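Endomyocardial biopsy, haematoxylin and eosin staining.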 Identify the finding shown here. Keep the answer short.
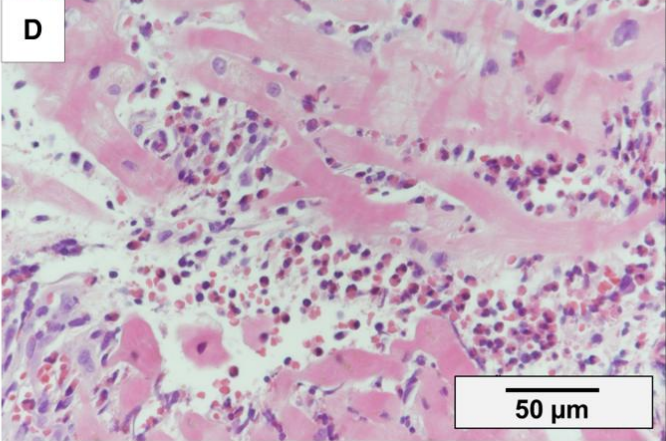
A: diffuse eosinophilic infiltration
